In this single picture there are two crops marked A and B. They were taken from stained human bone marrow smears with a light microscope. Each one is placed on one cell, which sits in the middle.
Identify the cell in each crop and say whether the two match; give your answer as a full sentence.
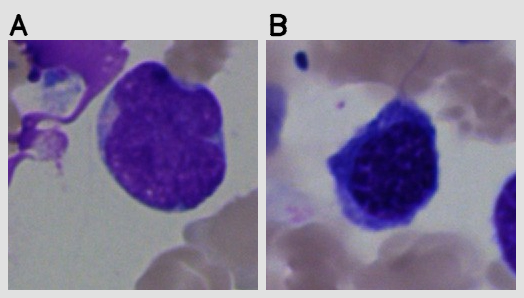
No, the cell centred in crop A is a blast, and that centred in crop B is an erythroblast.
